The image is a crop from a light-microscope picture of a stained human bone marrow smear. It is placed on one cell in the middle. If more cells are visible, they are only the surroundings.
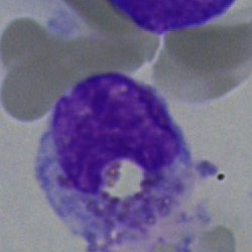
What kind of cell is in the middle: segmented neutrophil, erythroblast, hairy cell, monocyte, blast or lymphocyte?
monocyte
